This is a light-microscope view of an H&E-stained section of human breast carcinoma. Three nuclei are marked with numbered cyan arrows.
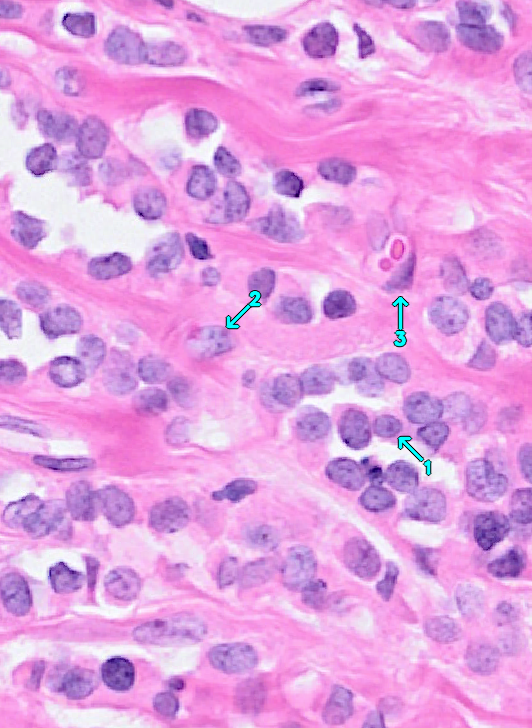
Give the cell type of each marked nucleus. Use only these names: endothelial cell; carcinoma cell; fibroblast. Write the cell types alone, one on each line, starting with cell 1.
carcinoma cell
endothelial cell
endothelial cell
